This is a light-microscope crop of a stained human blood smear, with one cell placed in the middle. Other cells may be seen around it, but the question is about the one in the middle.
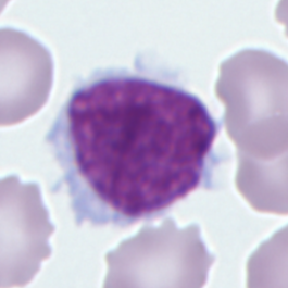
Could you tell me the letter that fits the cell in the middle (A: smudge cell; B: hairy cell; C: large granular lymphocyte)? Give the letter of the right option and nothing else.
B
